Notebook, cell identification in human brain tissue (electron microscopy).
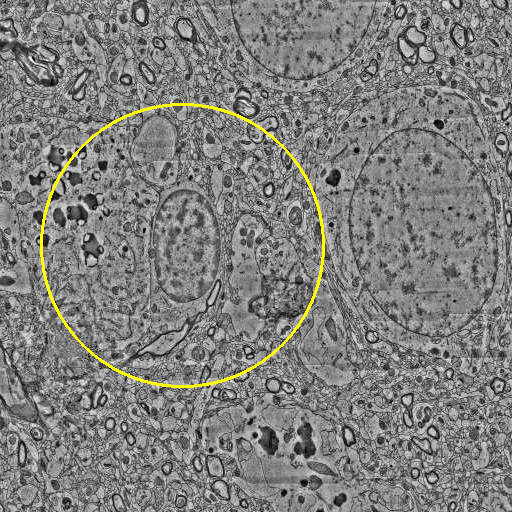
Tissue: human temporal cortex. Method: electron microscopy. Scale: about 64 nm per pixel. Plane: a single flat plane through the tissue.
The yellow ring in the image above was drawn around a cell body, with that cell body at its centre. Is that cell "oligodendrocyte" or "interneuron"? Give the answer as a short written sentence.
The cell in the ring is an oligodendrocyte.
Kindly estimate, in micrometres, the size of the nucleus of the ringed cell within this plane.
The nucleus comes to approximately 7 by 5 micrometres and is clearly longer than it is wide in this plane.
